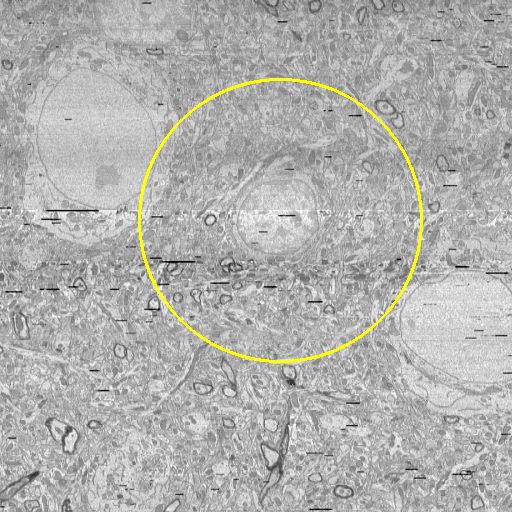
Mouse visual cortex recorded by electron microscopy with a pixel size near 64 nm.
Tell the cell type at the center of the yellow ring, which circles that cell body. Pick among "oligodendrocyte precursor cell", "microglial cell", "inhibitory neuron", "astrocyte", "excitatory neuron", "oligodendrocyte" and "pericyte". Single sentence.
The ring is centered on the body of an oligodendrocyte.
